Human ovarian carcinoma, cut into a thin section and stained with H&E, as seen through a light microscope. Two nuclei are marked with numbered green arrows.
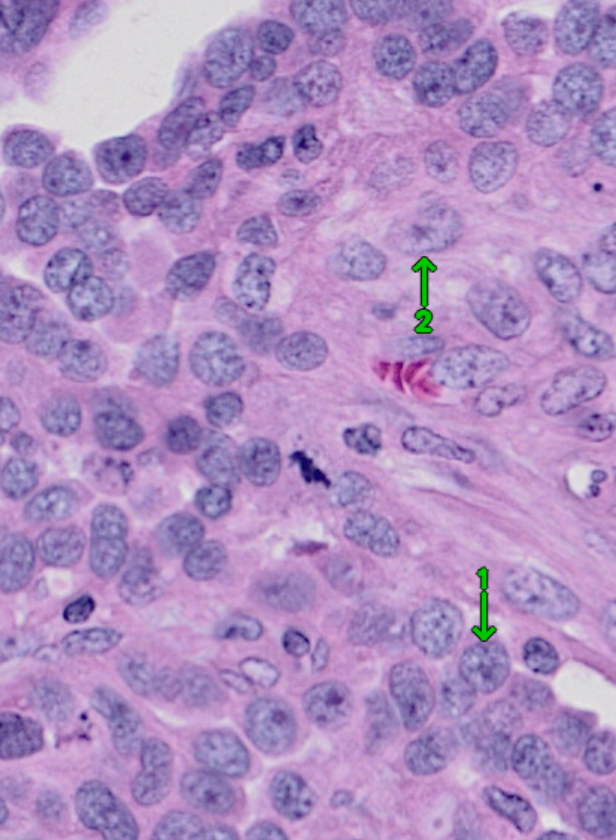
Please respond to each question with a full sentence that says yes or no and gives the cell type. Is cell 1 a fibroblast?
No, the cell labelled number 1 is not a fibroblast; it is a carcinoma cell.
